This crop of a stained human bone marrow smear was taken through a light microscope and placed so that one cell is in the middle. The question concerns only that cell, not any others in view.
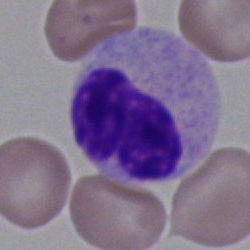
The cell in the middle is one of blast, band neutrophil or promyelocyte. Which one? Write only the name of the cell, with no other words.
band neutrophil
